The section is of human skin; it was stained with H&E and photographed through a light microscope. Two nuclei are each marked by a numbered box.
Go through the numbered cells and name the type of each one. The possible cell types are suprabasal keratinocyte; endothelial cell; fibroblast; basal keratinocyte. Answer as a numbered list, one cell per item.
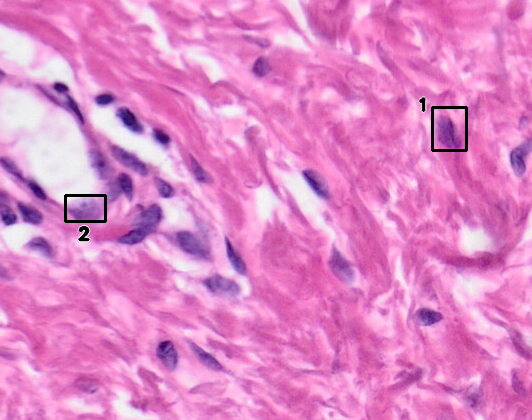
1. fibroblast
2. endothelial cell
